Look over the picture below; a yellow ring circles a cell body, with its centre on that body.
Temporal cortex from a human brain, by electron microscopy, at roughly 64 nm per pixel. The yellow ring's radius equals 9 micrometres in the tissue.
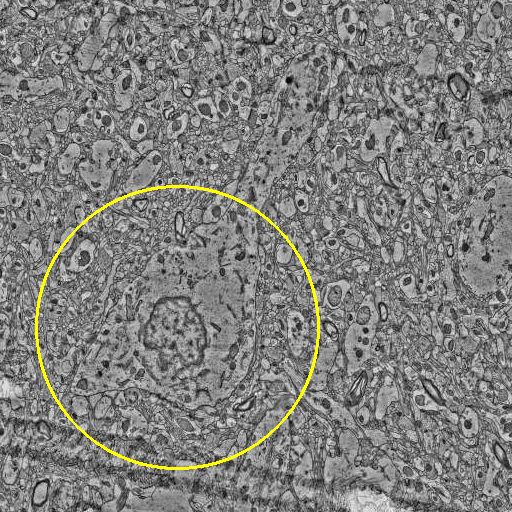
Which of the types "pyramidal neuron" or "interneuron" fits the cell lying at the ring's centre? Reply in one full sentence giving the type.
The picture shows a pyramidal neuron at the centre of the yellow ring.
